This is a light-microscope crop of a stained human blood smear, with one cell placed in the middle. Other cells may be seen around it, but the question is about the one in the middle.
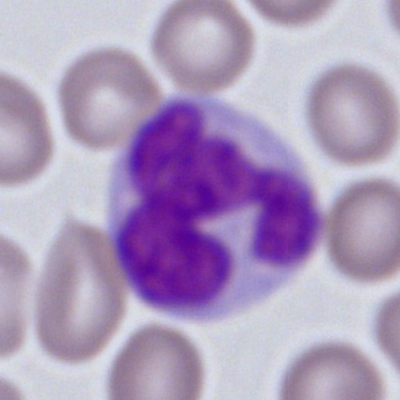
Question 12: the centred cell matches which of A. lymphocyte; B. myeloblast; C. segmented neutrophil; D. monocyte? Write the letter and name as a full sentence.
The central cell in this crop is a monocyte, corresponding to option D, the correct option.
